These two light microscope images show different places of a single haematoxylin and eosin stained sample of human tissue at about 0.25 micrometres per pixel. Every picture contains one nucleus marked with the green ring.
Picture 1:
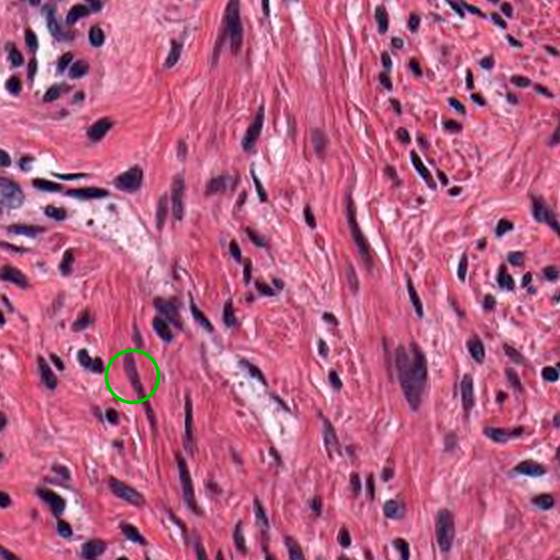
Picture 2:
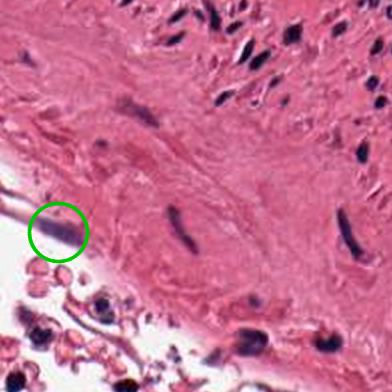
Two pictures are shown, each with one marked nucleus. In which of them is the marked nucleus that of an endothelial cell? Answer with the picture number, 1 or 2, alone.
2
